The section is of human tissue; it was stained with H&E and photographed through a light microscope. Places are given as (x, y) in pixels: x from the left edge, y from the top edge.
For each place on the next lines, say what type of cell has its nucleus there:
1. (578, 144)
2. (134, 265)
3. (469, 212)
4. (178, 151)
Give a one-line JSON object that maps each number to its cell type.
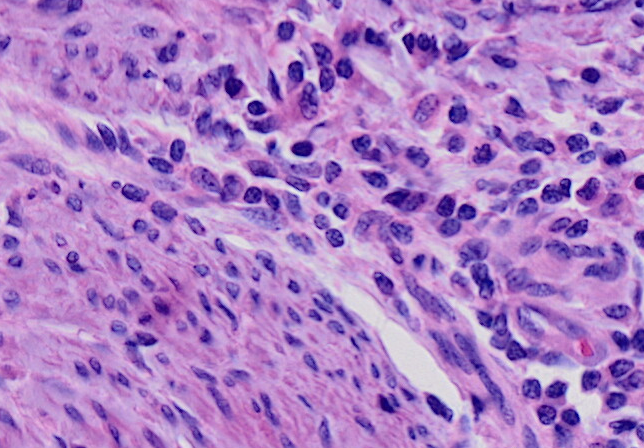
{"1": "lymphocyte", "2": "smooth muscle cell", "3": "lymphocyte", "4": "lymphocyte"}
